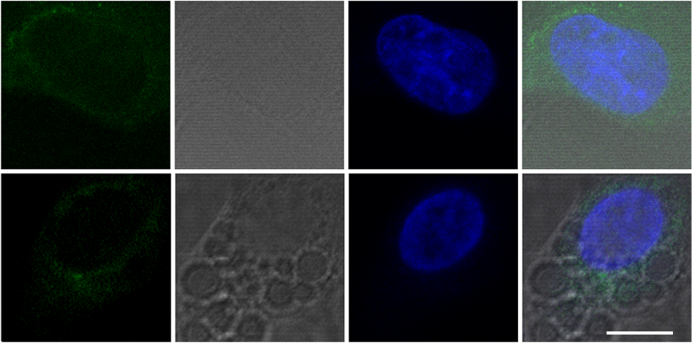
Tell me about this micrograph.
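The upper row shows an undifferentiated cell with a large oval blue nucleus and faint green staining around it, while its brightfield image is smooth and featureless. In the lower row the brightfield image shows many round, sharply rimmed lipid droplets crowding around a smaller blue nucleus, typical of an adipocyte, with faint speckled green around the nucleus.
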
